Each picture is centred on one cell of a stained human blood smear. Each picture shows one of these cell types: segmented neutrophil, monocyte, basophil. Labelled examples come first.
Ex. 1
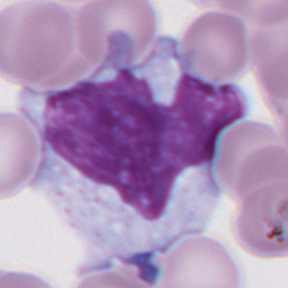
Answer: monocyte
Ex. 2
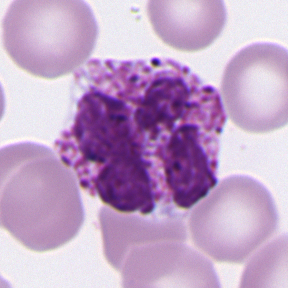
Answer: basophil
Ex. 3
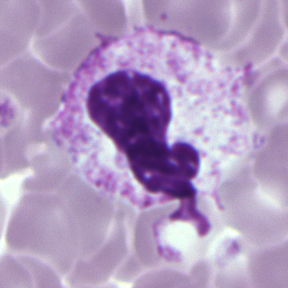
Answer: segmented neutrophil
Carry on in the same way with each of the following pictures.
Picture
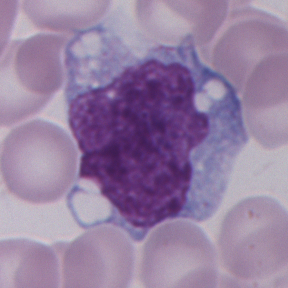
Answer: monocyte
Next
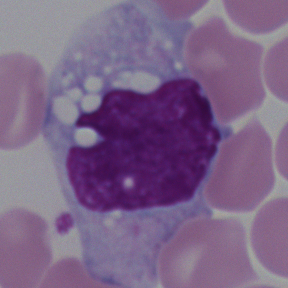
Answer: monocyte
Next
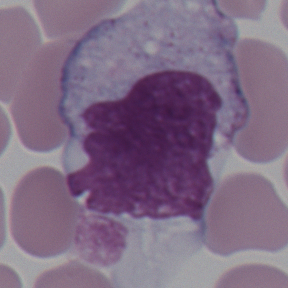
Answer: monocyte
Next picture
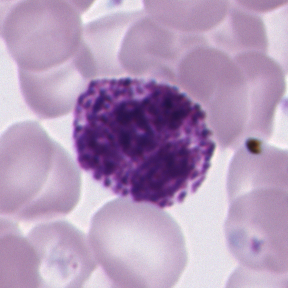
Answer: basophil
